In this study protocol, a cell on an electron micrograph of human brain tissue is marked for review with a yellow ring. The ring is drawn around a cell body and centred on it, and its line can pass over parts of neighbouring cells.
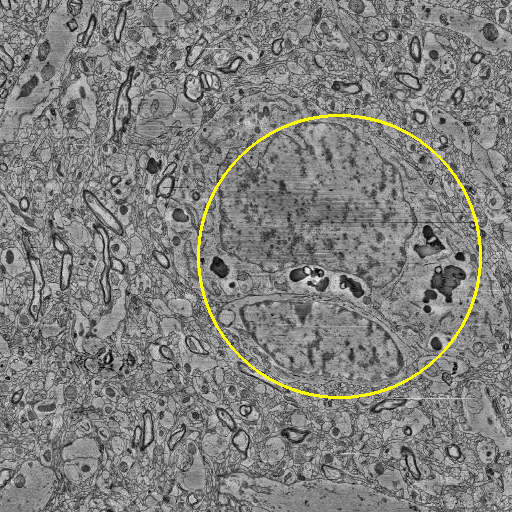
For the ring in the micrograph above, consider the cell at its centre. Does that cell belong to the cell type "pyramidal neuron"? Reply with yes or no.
no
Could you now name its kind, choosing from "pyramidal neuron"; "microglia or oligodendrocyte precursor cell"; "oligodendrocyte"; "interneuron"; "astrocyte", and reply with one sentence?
That cell in the ring is an interneuron instead.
